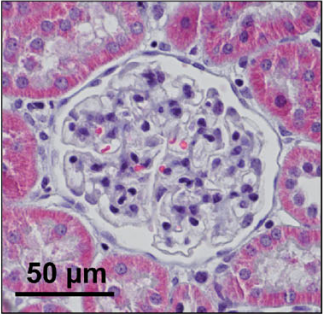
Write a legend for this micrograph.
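A glomerulus in kidney cortex lies at the centre, a rounded tuft of capillary loops crowded with small dark purple nuclei, with a few bright red blood cells inside the capillaries. The pale, faintly blue-grey matrix lies between the loops. A thin capsule surrounds the tuft, separated from it by a narrow clear space. Around the glomerulus lie cross-sections of tubules whose epithelial cells have red-staining, granular cytoplasm and round purple nuclei, some with pale, vacuolated apical parts. Thin blue-grey connective tissue separates the tubules from the capsule.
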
